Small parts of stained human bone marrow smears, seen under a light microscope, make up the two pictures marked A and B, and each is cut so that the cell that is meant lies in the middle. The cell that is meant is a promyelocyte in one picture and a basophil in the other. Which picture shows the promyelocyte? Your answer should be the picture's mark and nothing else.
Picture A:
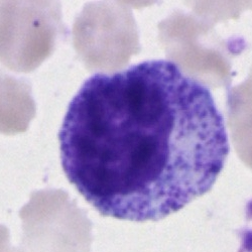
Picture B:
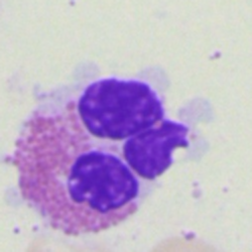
A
